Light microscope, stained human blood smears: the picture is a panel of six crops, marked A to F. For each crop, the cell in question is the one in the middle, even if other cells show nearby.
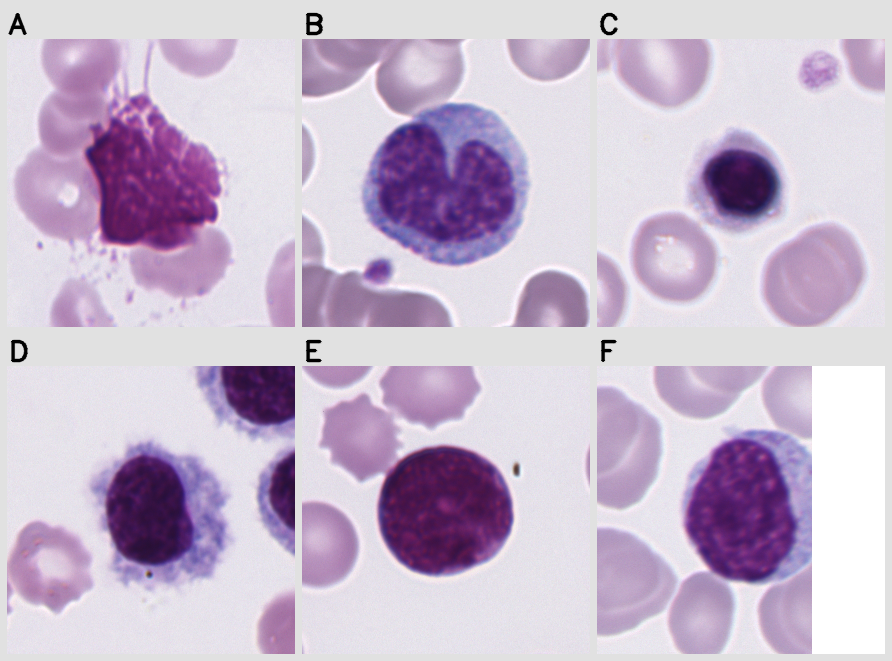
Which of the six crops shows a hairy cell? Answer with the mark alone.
D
